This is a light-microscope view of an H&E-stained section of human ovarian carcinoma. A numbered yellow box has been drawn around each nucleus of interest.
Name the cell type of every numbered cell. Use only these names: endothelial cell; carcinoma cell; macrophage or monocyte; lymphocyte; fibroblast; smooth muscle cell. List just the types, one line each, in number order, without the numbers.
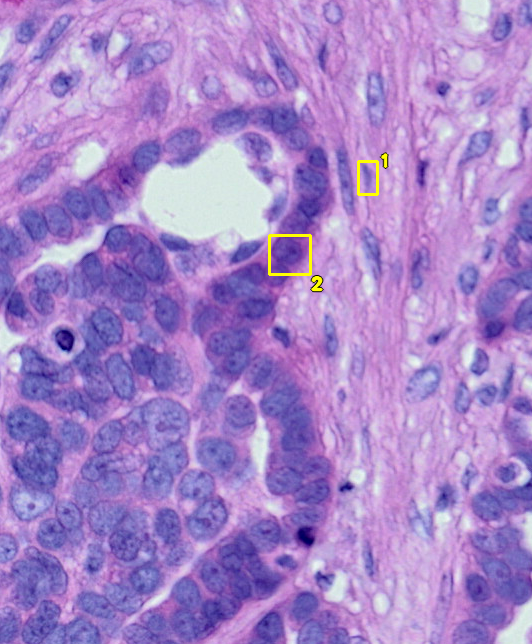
fibroblast
carcinoma cell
